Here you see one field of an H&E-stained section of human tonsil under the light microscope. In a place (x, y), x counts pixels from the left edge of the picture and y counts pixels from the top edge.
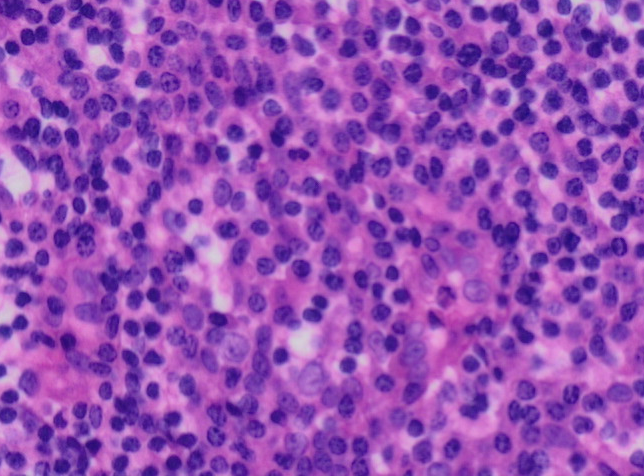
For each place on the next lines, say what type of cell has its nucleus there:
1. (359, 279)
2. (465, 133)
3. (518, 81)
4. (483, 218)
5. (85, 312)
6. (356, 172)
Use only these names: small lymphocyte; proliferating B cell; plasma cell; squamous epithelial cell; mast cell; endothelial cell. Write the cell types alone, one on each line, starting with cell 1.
plasma cell
plasma cell
small lymphocyte
plasma cell
endothelial cell
plasma cell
